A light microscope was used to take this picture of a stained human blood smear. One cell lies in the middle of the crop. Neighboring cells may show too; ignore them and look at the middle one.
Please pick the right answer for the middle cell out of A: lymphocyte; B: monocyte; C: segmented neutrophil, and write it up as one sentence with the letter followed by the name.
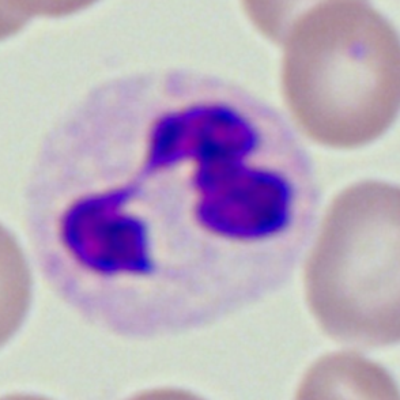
The middle of the crop contains a segmented neutrophil, so option C is right.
